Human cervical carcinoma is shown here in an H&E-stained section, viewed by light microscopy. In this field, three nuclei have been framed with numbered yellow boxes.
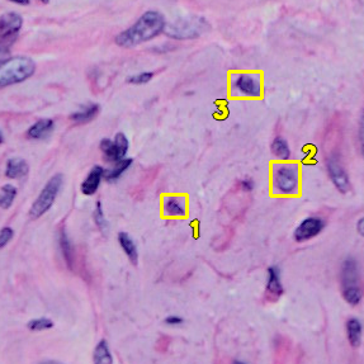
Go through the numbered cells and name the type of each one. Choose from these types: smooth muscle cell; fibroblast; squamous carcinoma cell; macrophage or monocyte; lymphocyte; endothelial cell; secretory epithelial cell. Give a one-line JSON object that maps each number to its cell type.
{"1": "smooth muscle cell", "2": "smooth muscle cell", "3": "fibroblast"}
